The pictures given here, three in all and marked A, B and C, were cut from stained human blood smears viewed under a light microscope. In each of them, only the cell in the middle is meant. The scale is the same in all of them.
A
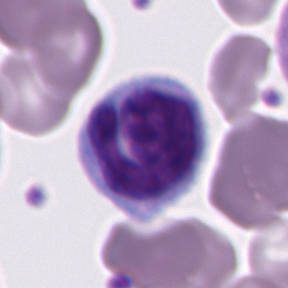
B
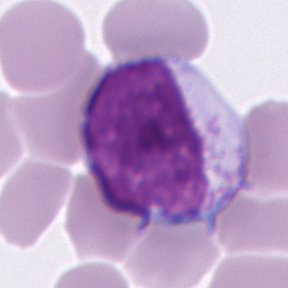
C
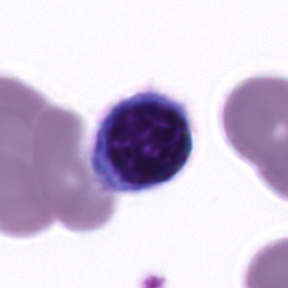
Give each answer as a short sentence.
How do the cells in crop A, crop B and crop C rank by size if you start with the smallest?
From the smallest up, the order is C, A, B.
